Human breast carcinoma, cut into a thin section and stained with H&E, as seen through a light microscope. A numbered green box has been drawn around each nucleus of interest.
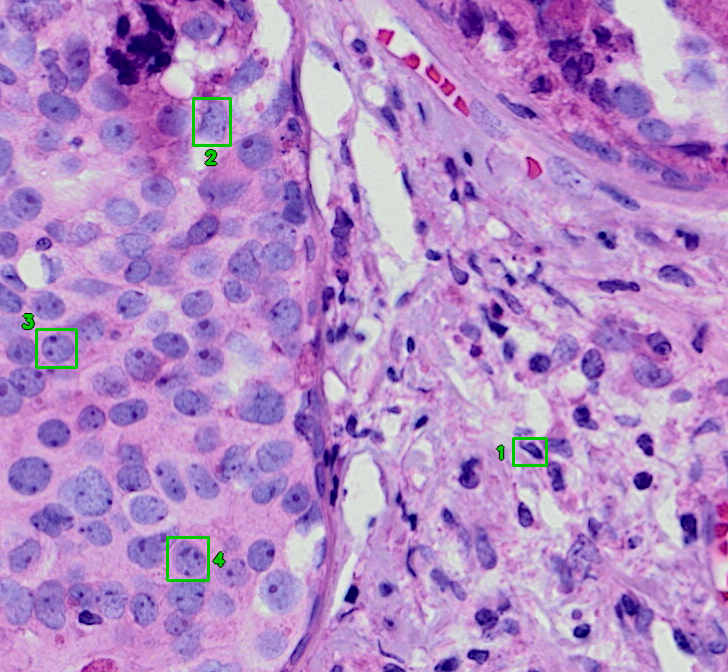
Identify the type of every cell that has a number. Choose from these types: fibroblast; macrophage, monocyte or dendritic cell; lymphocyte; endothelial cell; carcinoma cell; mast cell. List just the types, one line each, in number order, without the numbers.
lymphocyte
carcinoma cell
carcinoma cell
carcinoma cell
